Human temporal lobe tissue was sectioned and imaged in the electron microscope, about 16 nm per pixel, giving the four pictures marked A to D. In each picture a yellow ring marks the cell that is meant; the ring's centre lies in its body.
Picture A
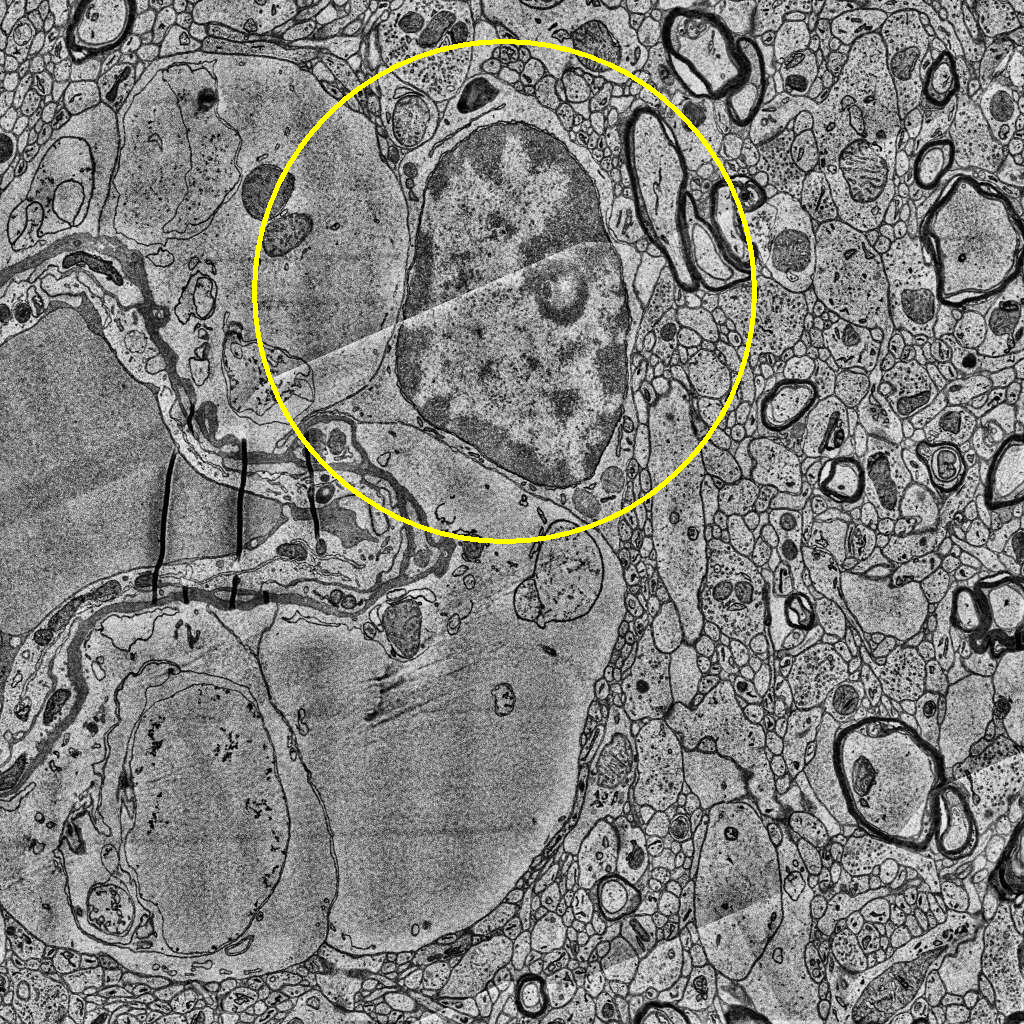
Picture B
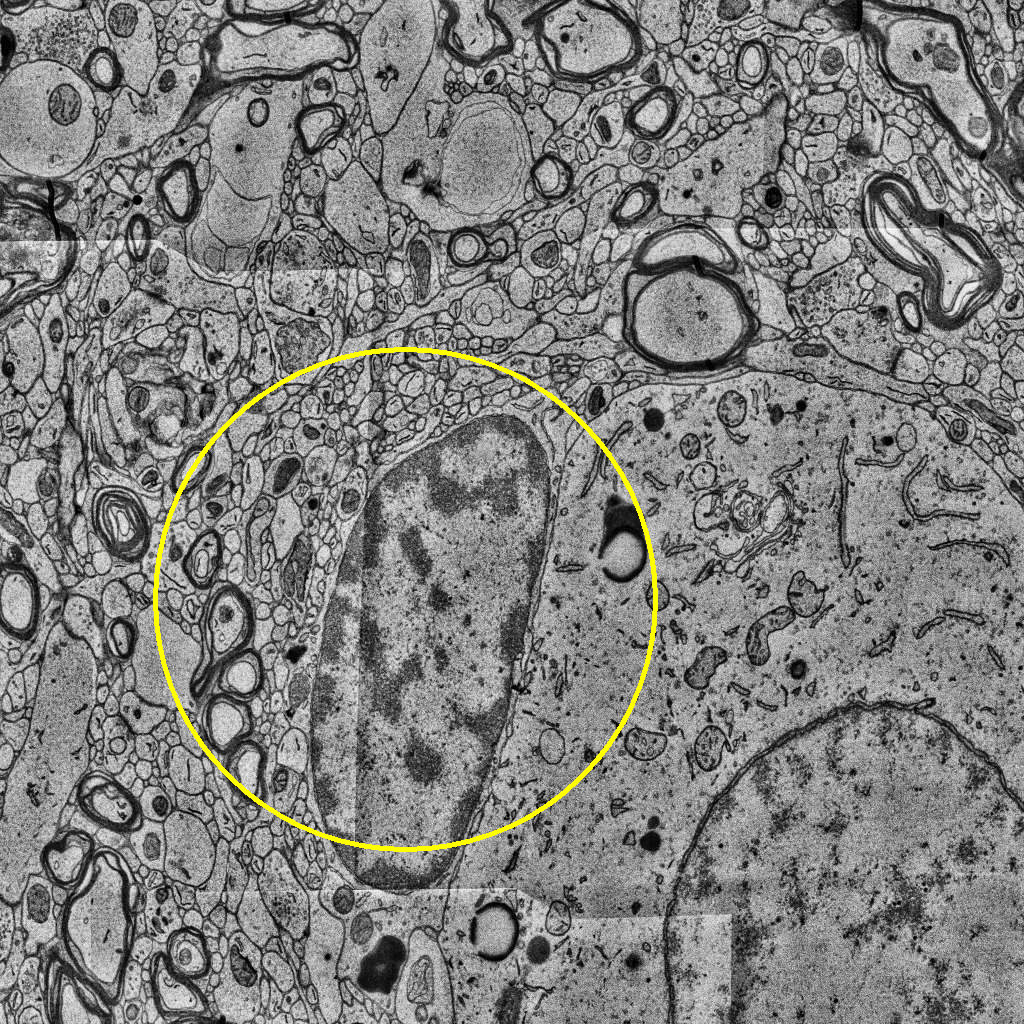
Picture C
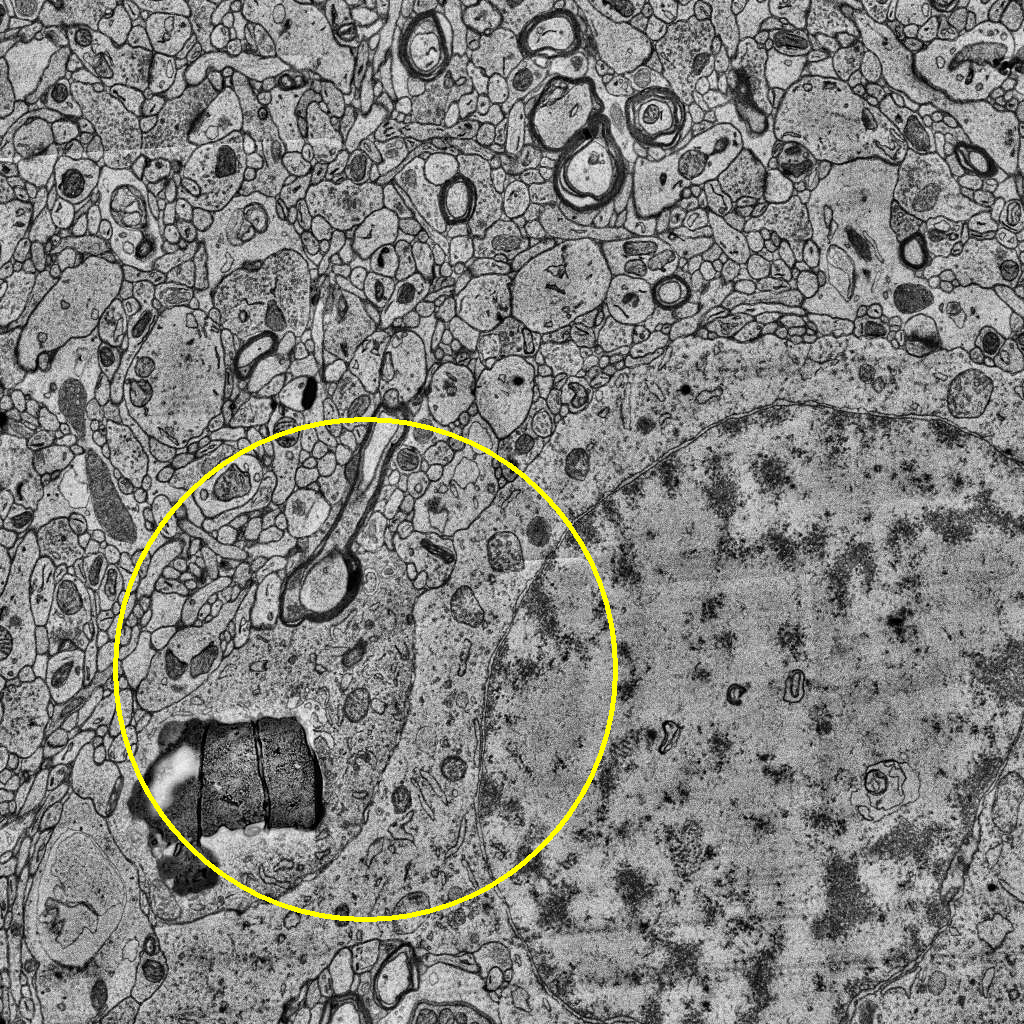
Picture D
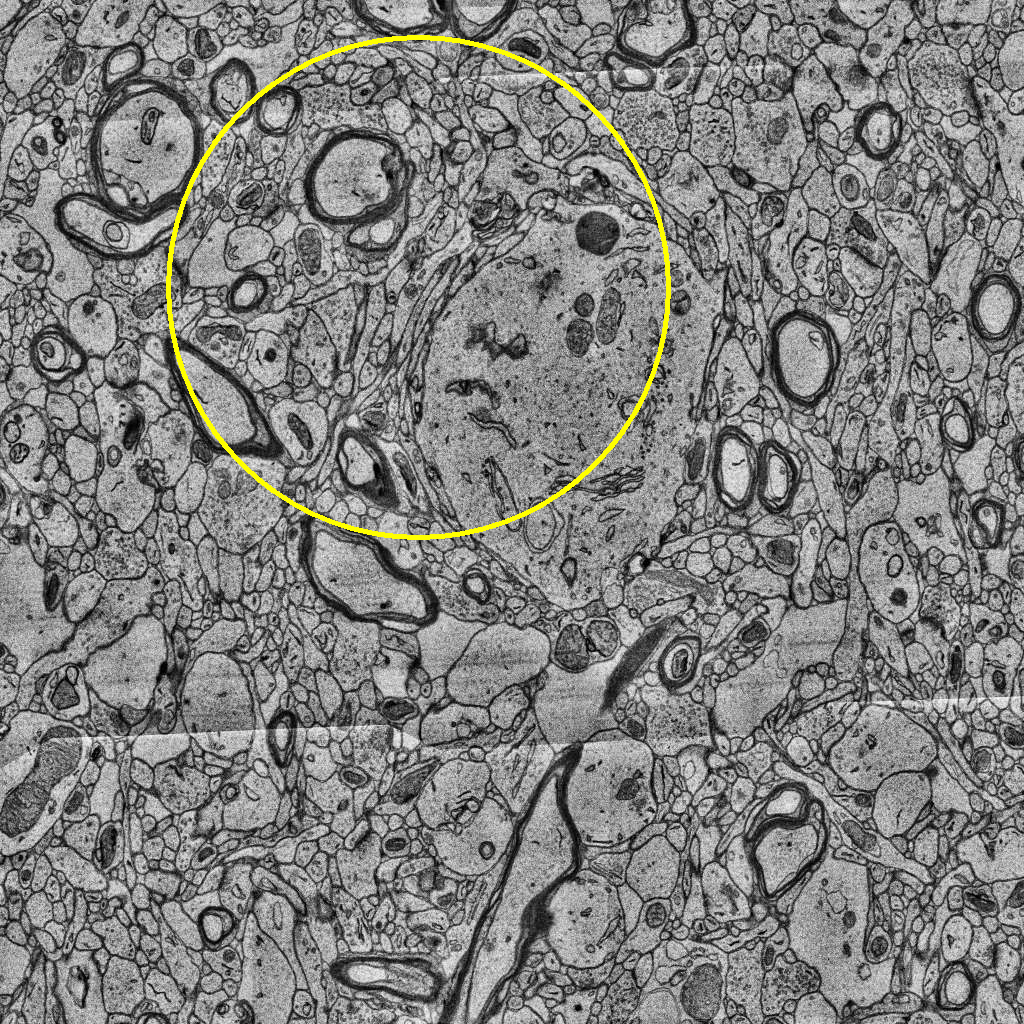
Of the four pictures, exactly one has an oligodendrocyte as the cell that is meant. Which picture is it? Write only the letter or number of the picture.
C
